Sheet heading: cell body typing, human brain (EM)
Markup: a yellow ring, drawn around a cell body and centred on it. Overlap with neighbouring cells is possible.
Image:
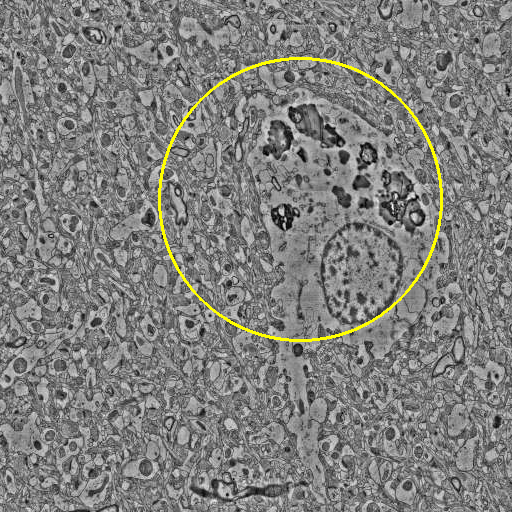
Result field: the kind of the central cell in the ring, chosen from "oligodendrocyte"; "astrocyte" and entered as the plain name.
oligodendrocyte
